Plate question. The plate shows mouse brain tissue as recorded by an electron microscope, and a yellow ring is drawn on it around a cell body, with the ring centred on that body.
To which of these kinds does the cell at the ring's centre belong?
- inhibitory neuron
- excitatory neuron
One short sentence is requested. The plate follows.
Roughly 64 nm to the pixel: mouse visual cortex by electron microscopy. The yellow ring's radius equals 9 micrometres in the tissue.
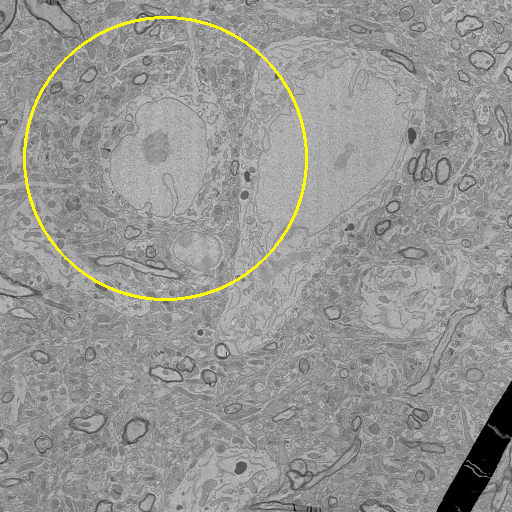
The cell at the ring's centre is an inhibitory neuron.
